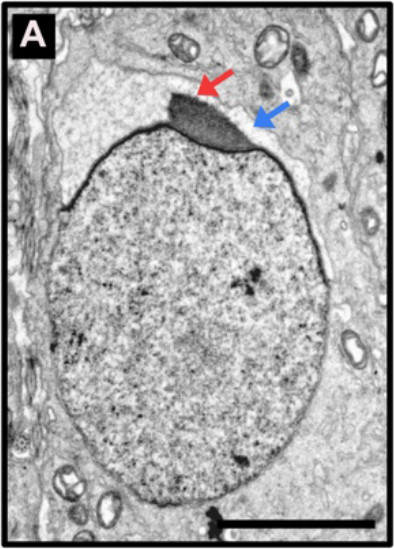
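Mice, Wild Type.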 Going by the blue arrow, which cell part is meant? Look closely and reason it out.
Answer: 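A thin pale cap spreads along the nuclear surface beside the dense vesicle. That points to this answer: head cap.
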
